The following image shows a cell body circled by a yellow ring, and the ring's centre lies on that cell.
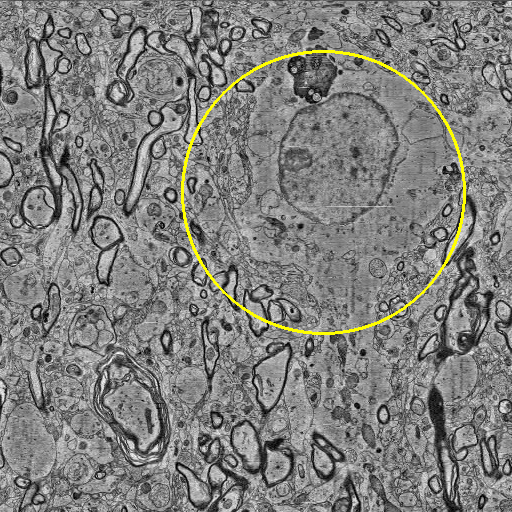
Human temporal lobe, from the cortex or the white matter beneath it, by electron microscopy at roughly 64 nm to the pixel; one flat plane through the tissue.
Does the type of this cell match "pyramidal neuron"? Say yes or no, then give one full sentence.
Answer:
No, the cell at the ring's centre in this picture has a different type.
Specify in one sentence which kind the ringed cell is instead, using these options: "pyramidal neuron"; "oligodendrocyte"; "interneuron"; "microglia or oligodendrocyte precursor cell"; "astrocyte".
Instead, the cell inside the ring is an astrocyte.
